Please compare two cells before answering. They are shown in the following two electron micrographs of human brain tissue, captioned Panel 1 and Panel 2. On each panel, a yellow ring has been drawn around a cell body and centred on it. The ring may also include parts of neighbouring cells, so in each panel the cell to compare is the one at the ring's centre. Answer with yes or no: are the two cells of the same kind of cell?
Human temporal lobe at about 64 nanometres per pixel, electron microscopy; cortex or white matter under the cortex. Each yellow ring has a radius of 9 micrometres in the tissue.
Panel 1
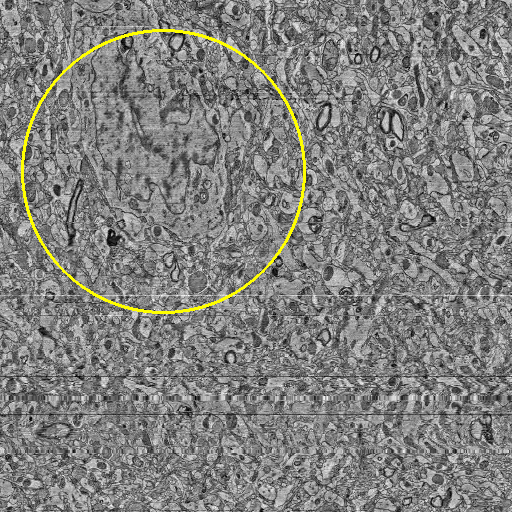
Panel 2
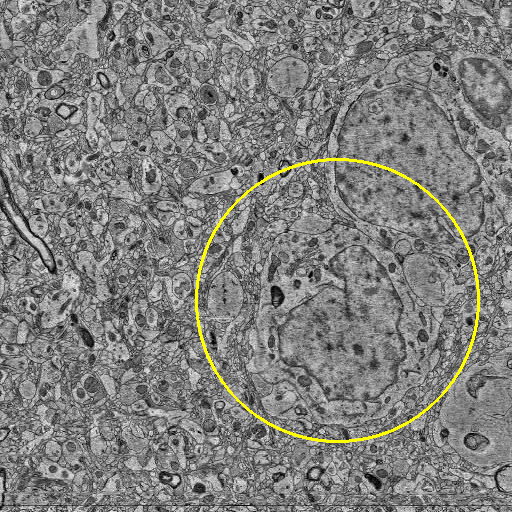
yes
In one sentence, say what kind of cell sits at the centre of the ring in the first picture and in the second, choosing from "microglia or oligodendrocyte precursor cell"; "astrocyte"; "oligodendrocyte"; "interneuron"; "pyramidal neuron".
Both pictures show an interneuron at the centre of the ring.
